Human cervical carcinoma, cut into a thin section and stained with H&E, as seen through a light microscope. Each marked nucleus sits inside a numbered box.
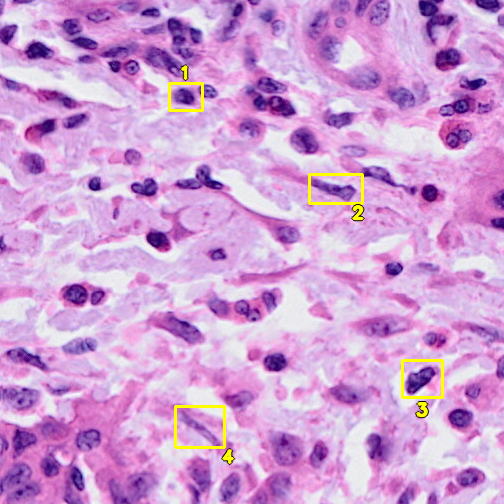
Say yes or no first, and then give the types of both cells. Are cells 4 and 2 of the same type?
Yes, the cells marked 4 and 2 are both fibroblasts.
